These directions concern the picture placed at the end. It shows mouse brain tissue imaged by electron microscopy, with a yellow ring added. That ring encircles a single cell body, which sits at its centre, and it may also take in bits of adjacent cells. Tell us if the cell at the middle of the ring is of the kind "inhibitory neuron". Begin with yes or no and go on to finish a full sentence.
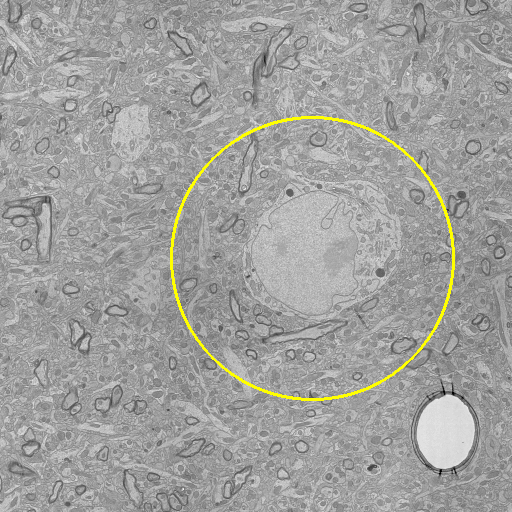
Yes, the cell sitting at the centre of the yellow ring in the picture is of that kind.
